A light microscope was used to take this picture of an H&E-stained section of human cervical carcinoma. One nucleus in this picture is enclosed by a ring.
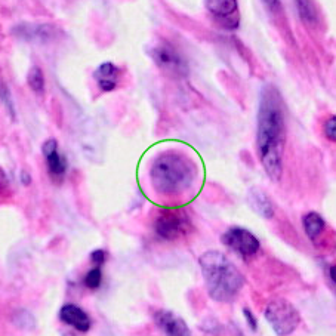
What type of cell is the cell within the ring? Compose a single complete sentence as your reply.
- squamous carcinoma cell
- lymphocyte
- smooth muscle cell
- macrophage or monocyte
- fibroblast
Cytologically, the cell within the ring is to be regarded as a macrophage or monocyte.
